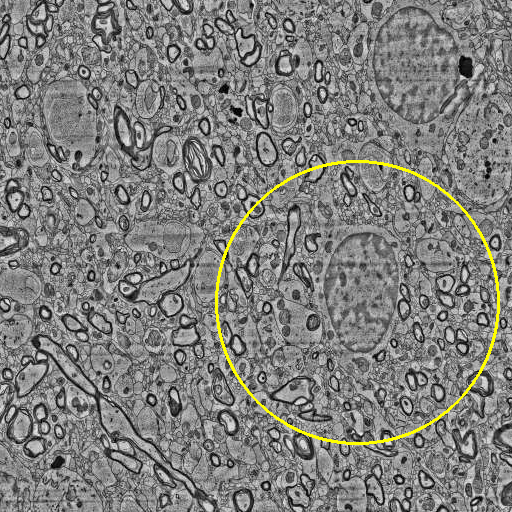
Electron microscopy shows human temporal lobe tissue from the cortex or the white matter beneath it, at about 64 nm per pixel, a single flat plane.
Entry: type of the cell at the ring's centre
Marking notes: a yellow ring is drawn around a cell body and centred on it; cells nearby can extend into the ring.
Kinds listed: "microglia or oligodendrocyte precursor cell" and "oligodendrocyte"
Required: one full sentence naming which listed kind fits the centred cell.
My entry names an oligodendrocyte as the cell whose body the yellow ring centres on.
